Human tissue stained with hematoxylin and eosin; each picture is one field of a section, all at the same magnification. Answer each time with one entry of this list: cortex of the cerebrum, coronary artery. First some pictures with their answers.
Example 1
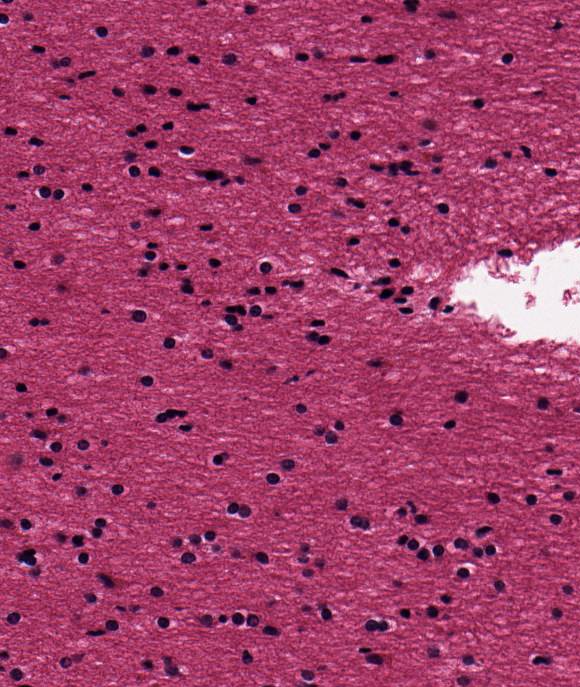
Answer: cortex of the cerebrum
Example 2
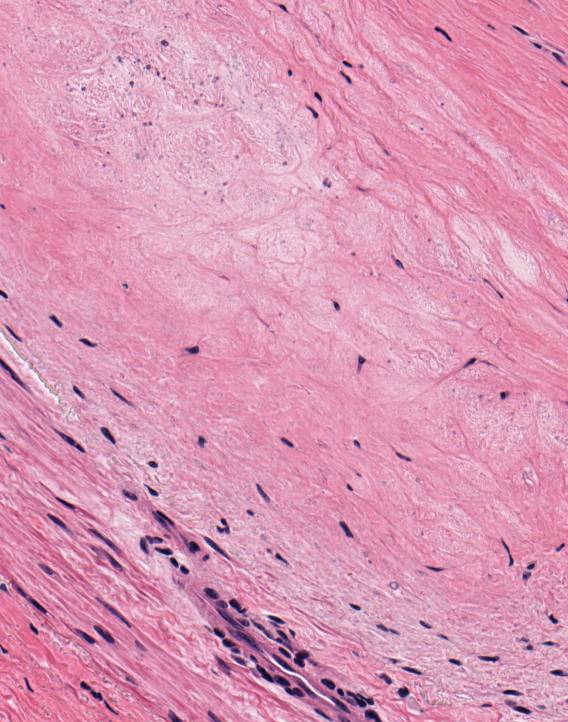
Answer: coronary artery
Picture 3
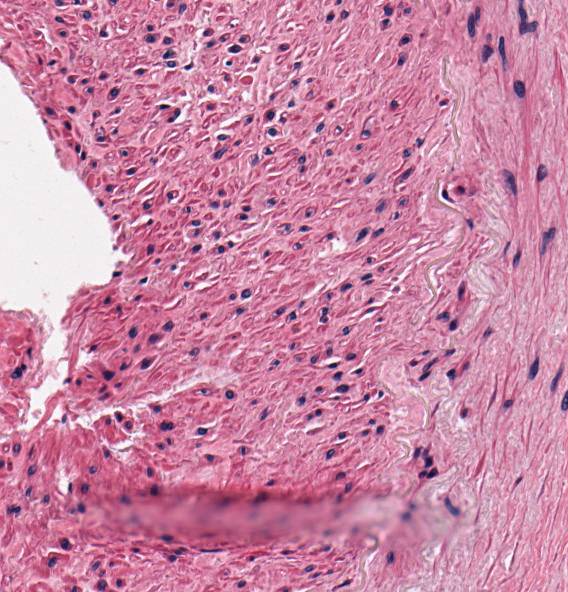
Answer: coronary artery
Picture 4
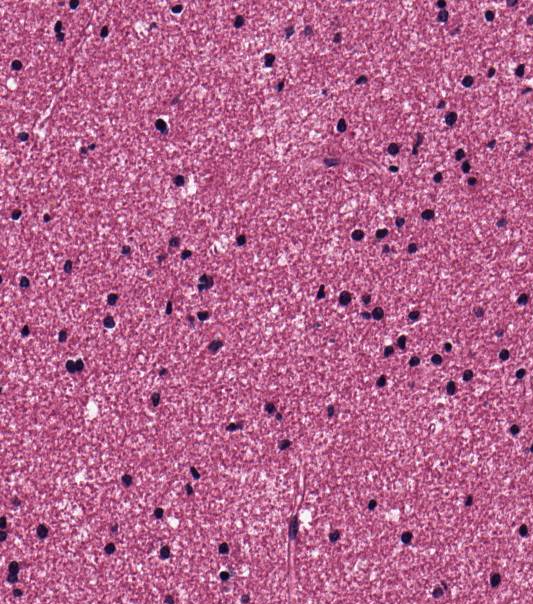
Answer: cortex of the cerebrum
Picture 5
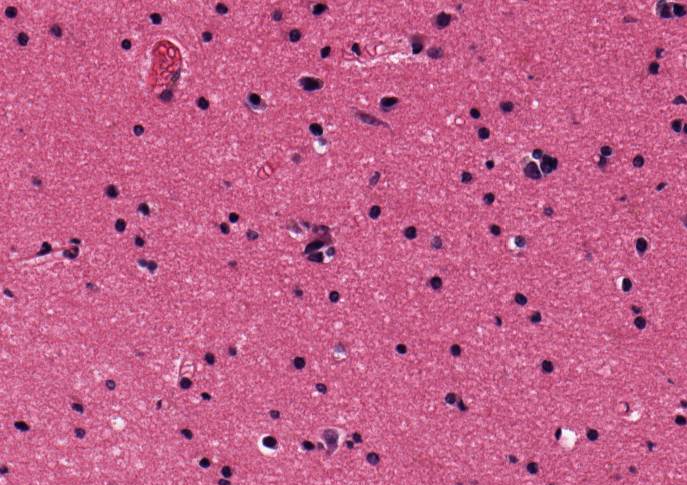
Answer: cortex of the cerebrum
